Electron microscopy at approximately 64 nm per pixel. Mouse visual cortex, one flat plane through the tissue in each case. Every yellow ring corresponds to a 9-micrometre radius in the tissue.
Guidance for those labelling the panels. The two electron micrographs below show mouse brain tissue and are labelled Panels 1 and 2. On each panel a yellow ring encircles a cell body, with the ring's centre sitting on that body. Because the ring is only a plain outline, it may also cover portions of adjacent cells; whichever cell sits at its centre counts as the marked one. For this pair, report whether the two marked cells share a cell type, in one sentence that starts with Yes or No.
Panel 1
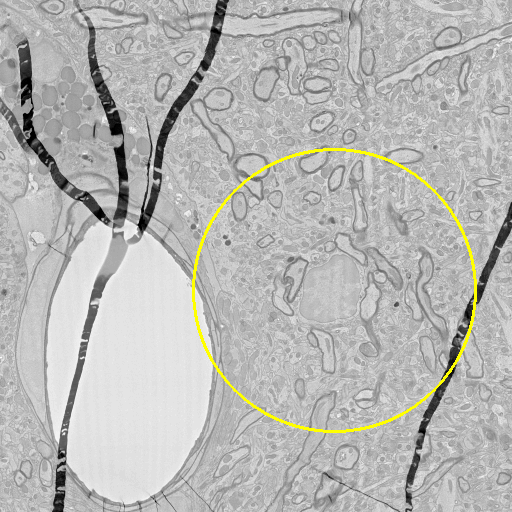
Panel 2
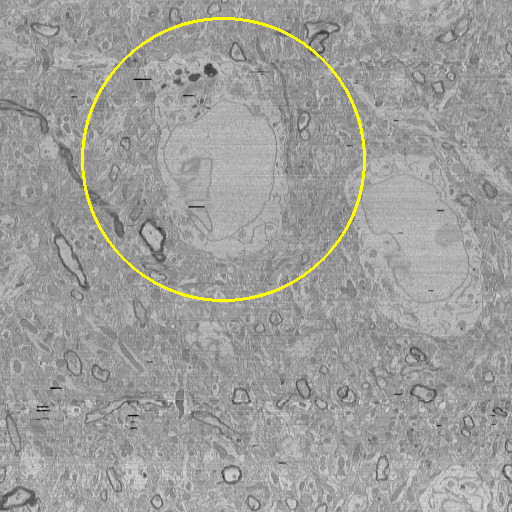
No, in Panel 1 and Panel 2 the marked cells at the ring centres are of two types.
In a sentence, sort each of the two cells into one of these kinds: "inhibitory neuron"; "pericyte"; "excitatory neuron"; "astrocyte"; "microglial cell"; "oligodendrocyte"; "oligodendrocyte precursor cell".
The first of the two cells is a microglial cell, and the second is an excitatory neuron.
